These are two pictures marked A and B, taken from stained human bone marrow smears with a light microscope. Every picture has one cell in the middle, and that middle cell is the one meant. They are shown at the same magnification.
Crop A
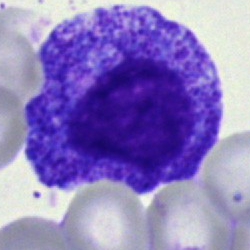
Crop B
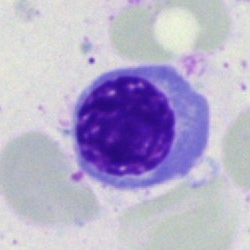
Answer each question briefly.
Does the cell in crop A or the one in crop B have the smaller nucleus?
B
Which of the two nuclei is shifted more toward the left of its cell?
B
